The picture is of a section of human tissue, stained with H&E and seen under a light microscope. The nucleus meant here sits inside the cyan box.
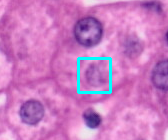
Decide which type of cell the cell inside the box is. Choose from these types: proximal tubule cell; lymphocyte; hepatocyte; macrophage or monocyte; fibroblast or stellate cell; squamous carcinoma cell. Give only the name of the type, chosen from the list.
hepatocyte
